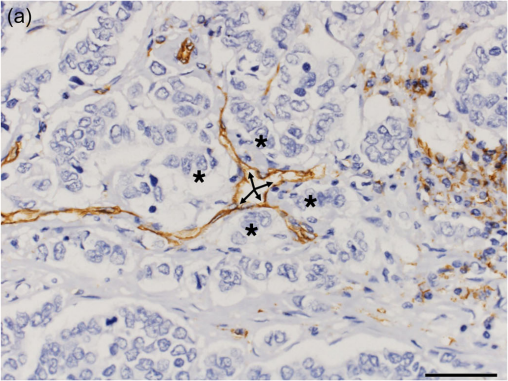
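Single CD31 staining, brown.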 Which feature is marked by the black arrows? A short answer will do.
Excessively branched capillaries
